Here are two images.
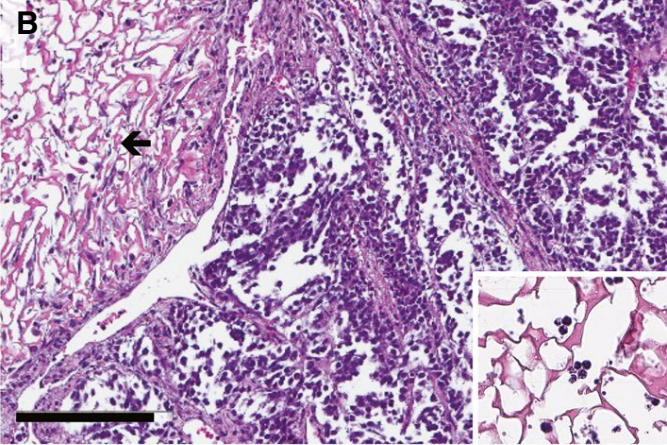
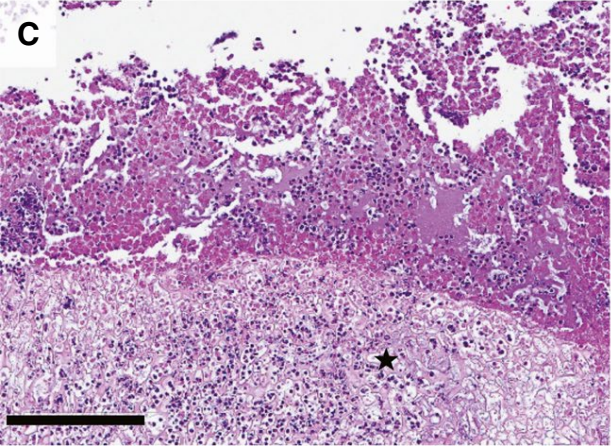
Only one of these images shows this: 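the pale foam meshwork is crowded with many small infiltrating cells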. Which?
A: The second image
